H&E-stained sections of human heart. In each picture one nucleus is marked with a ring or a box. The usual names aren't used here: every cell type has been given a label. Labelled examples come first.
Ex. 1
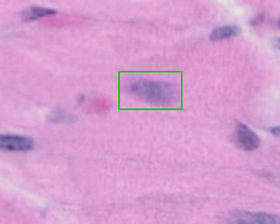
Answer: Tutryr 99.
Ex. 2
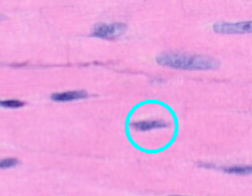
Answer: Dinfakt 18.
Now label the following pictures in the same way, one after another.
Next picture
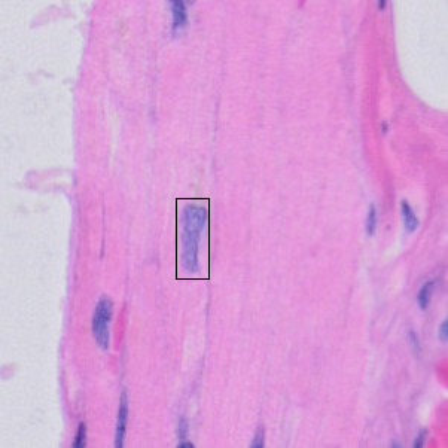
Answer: Tutryr 99.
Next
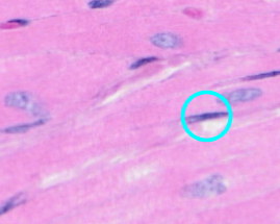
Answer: Dinfakt 18.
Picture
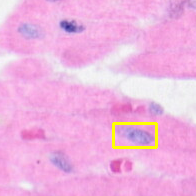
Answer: Tutryr 99.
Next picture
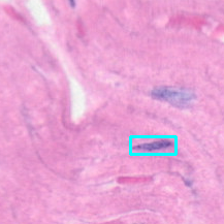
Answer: Dinfakt 18.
